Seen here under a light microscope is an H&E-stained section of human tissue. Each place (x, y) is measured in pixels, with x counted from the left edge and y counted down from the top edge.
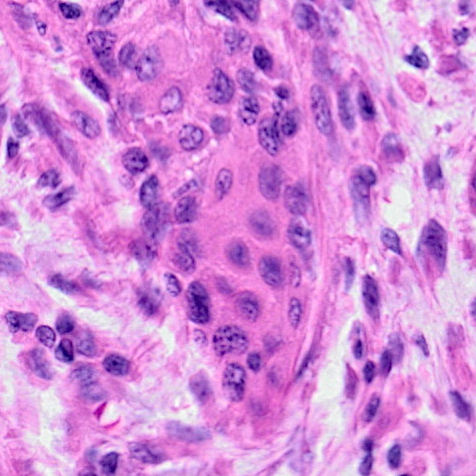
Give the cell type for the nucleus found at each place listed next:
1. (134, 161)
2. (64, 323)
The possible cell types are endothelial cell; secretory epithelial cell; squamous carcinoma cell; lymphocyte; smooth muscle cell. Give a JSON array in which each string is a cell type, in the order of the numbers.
["squamous carcinoma cell", "lymphocyte"]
